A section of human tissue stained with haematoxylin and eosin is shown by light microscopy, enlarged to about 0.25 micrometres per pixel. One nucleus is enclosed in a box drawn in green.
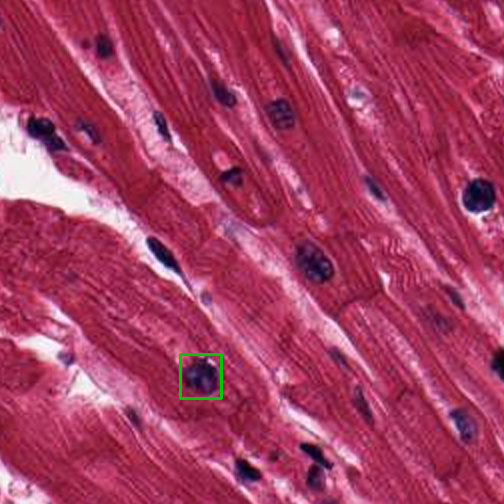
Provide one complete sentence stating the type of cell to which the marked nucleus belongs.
The marked nucleus is recognized as the nucleus of a cardiomyocyte.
